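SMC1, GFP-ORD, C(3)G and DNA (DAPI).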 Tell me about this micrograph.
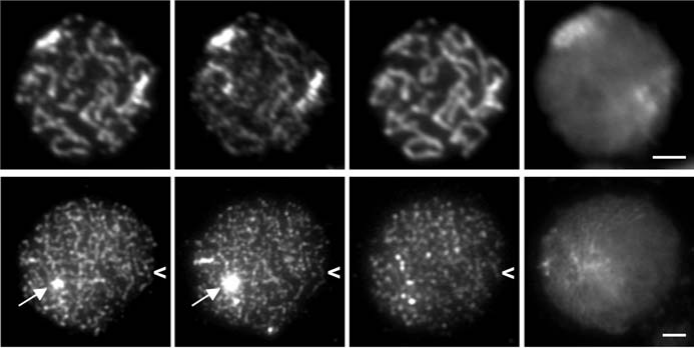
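These are spread oocyte nuclei from the ovary, each seen in several channels side by side. In the upper row the labelling traces long, continuous, looping threads, the chromosome cores, running through the roughly round nucleus, with a few brighter compact patches where centromeres lie; the thread pattern matches closely from image to image. In the lower row the nucleus is filled instead with many finer, shorter threads and dots, giving a disorganized look, with one bright compact cluster marked by arrows. In the third image of that row the labelling is only dots and short pieces, not long stretches.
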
